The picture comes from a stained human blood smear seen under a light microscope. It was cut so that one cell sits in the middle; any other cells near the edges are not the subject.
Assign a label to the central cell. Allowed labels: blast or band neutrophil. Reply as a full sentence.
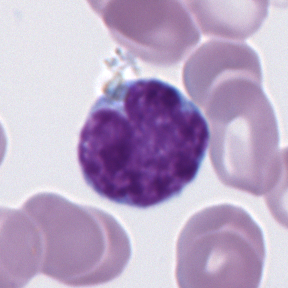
The centrally placed cell is classified as a blast.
